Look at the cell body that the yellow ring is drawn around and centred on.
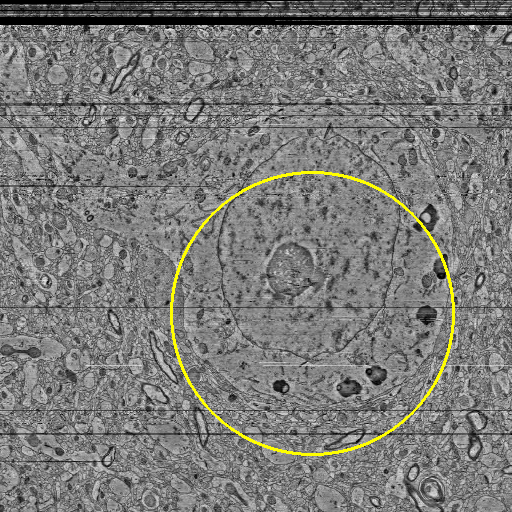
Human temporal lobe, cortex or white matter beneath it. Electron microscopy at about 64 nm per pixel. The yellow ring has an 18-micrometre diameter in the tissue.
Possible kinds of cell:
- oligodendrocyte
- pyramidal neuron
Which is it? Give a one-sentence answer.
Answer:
The centred cell body is that of a pyramidal neuron.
